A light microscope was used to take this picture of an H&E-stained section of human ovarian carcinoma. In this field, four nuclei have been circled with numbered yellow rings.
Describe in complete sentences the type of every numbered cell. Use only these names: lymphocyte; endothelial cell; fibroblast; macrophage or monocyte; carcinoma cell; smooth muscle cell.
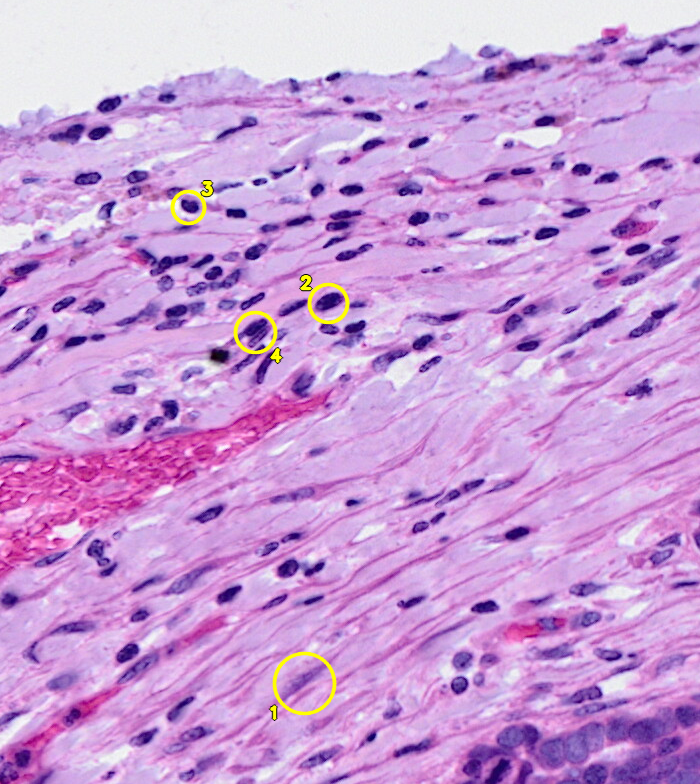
Cell 1 is a fibroblast, cell 2 is a lymphocyte, cell 3 is a lymphocyte and cell 4 is a lymphocyte.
